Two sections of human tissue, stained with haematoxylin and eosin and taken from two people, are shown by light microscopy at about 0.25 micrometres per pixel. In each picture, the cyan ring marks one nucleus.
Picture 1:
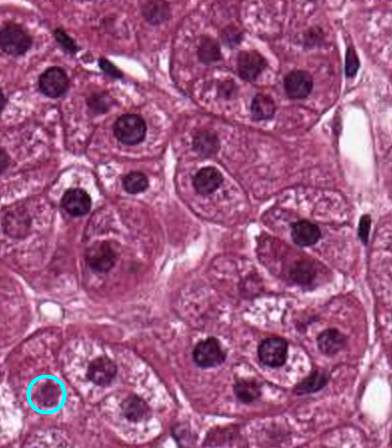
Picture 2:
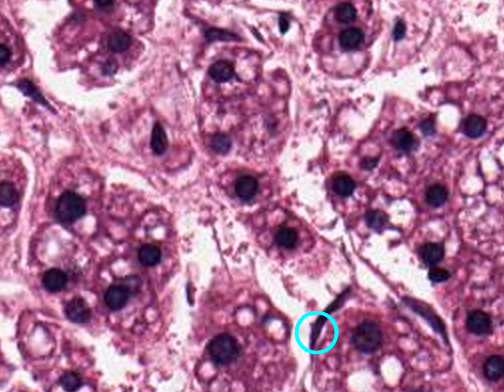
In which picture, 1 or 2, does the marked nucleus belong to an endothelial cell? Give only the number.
2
